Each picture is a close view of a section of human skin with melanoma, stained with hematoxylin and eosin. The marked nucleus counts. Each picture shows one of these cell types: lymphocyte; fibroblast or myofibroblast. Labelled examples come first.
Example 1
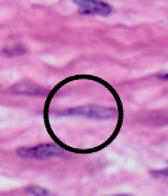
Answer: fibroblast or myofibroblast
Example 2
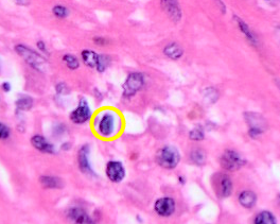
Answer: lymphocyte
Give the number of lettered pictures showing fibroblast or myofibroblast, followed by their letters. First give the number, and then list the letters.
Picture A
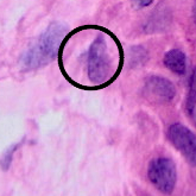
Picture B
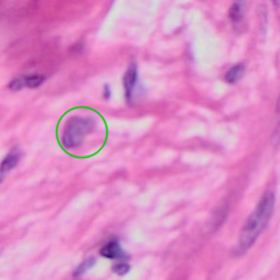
2, namely A, B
